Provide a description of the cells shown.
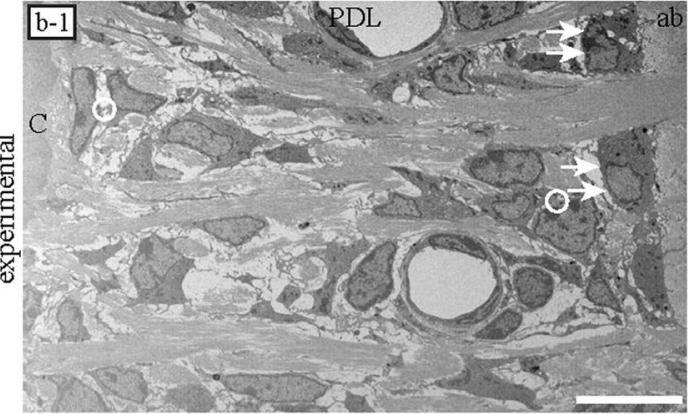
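Blood vessels with round lumens are cut across within the ligament. Along the bone surface at the right, plump, dark-staining cells sit in a row against the bone, looking like osteoblast-like cells.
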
